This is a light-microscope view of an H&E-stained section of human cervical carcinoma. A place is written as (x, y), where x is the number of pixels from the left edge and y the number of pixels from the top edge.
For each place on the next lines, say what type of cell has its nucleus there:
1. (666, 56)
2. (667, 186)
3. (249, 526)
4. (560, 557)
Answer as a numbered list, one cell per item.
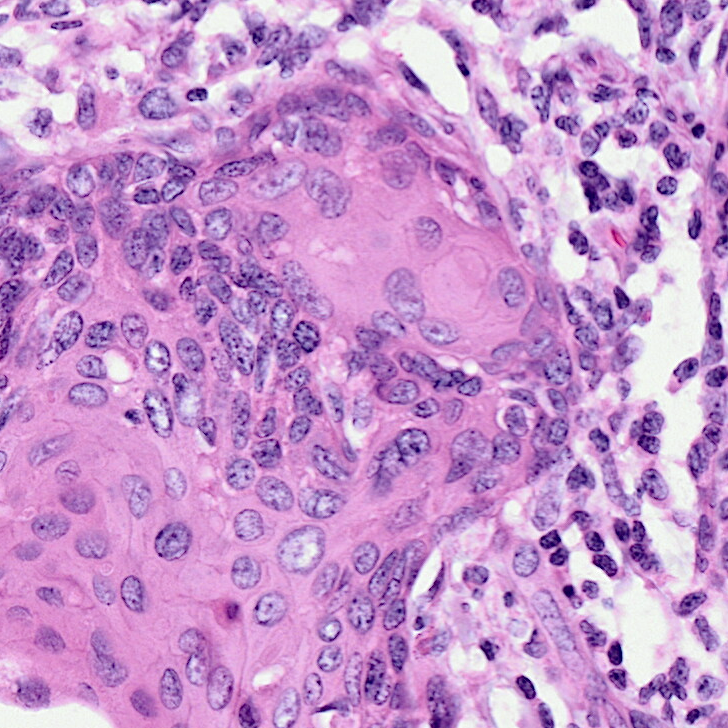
1. lymphocyte
2. lymphocyte
3. squamous carcinoma cell
4. lymphocyte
